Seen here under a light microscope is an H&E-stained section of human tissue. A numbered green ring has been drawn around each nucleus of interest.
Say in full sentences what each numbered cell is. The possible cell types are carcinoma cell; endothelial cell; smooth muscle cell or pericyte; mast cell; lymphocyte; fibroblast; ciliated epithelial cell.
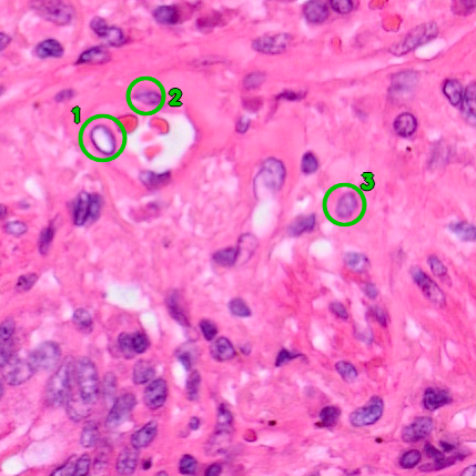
Cell 1 is an endothelial cell, cell 2 is an endothelial cell and cell 3 is a mast cell.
